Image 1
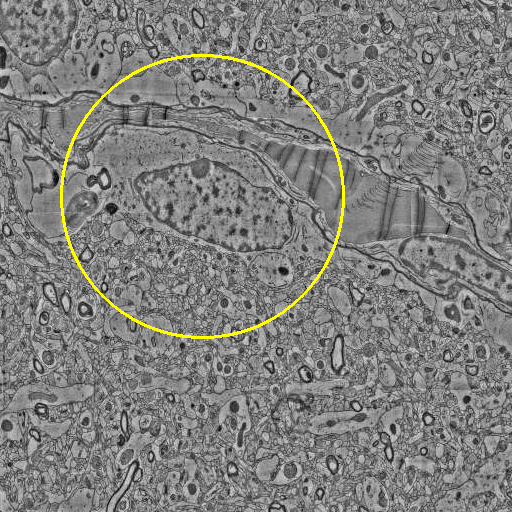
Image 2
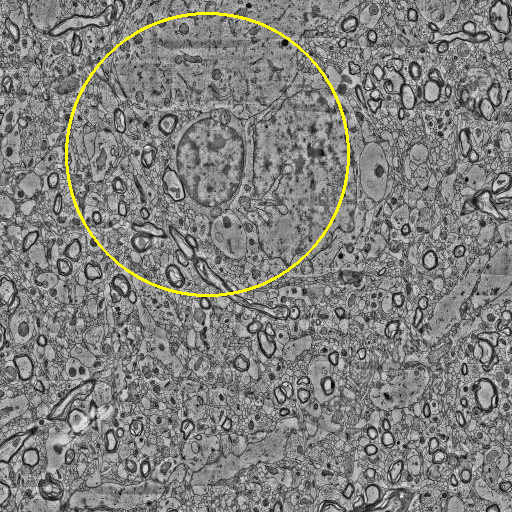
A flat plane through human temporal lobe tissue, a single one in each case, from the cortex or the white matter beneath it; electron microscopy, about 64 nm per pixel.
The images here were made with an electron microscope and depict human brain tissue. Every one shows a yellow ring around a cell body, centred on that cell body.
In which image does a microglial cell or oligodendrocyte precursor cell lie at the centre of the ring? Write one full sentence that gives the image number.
My answer is image 1, where the asked-for cell sits at the centre of the ring.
